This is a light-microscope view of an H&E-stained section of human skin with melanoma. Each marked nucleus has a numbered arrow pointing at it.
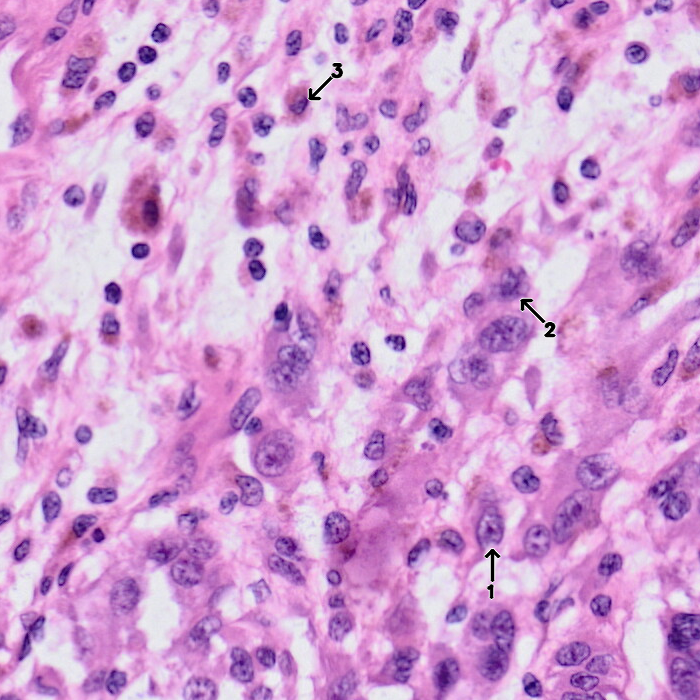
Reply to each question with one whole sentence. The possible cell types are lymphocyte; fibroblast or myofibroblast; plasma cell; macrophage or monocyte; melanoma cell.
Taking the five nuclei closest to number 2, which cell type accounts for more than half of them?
Most of the five nuclei nearest to number 2 are those of macrophages or monocytes.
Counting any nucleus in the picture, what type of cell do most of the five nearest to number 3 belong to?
The majority of the five nuclei closest to number 3 belong to lymphocytes.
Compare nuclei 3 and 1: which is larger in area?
Nucleus 1 is the larger one, covering about 4 times the area of nucleus 3.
